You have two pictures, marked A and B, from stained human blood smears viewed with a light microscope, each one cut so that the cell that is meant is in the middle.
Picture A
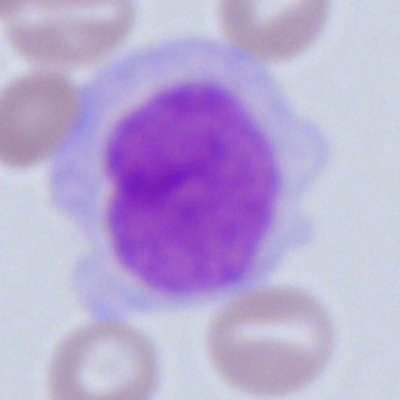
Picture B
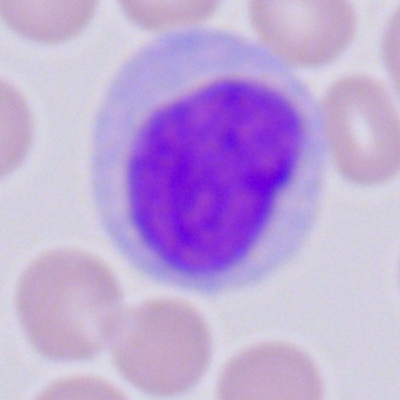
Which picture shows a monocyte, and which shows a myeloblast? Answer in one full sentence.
Picture A is of a monocyte, and picture B is of a myeloblast.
